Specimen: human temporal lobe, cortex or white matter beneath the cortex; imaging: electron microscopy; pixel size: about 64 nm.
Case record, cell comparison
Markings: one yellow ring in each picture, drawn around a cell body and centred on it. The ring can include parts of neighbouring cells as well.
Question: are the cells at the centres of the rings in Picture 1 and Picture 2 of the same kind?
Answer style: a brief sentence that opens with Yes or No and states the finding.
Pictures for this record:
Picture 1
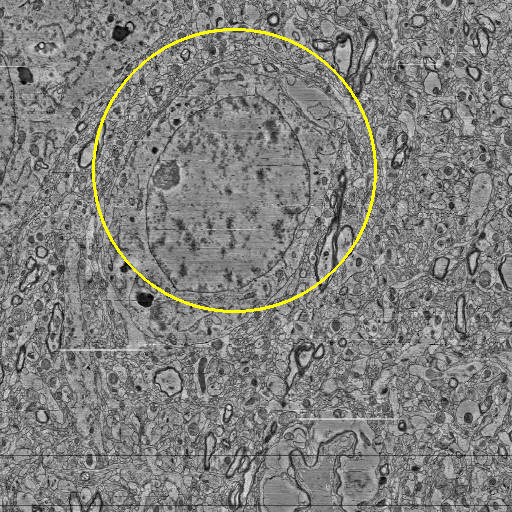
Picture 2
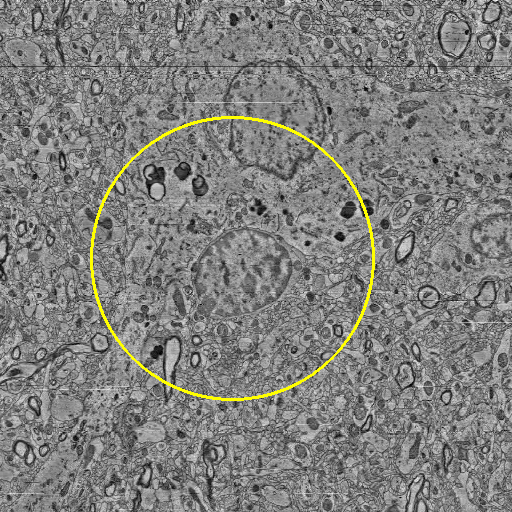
No, the cells in Picture 1 and Picture 2 are of two kinds.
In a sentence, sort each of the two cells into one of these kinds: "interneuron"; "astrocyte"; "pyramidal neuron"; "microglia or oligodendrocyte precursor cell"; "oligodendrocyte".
The first of the two cells is a pyramidal neuron, and the second is an oligodendrocyte.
